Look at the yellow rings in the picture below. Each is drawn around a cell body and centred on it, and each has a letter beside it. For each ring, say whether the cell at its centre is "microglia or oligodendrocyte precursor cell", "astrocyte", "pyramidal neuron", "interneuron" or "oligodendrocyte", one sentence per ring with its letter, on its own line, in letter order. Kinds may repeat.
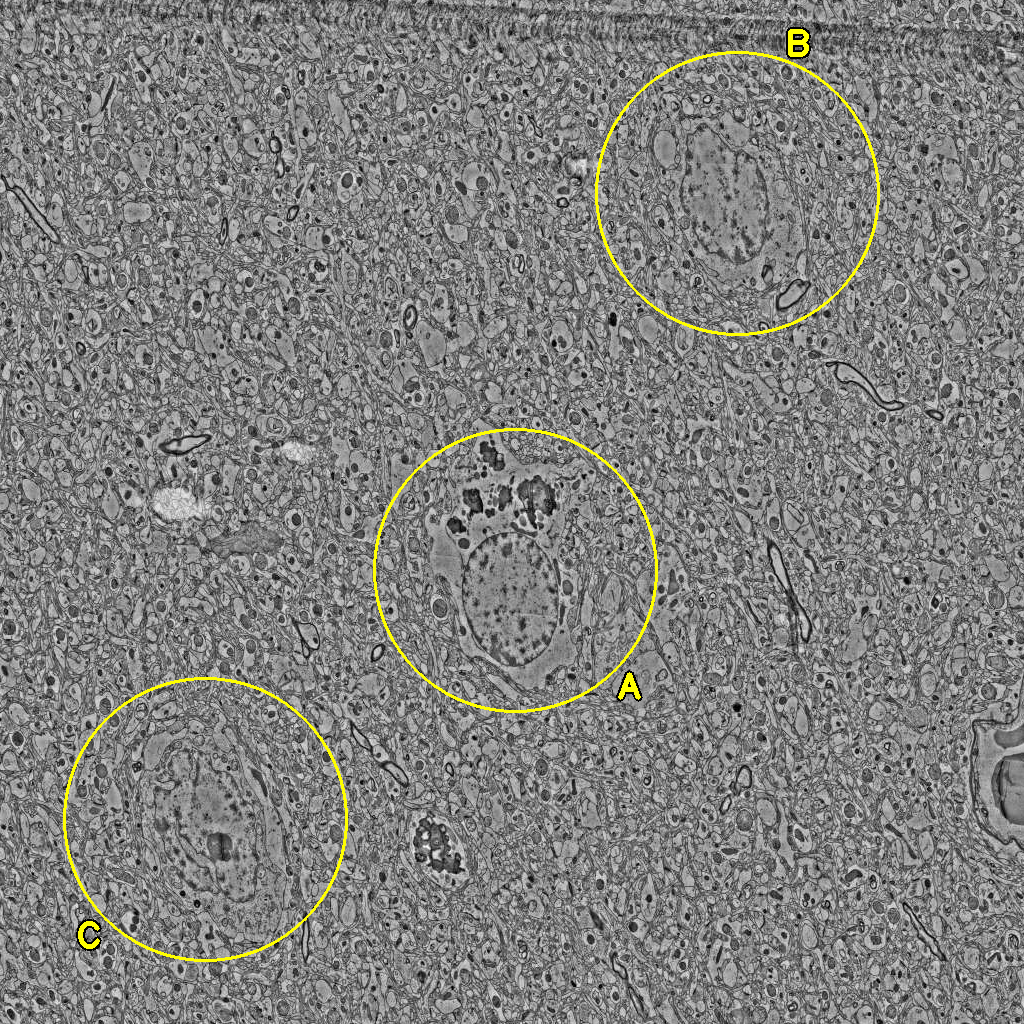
The centred cell of ring A is an astrocyte.
The centred cell of ring B is an interneuron.
The centred cell of ring C is an interneuron.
